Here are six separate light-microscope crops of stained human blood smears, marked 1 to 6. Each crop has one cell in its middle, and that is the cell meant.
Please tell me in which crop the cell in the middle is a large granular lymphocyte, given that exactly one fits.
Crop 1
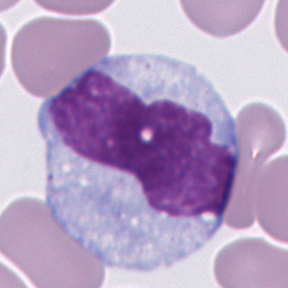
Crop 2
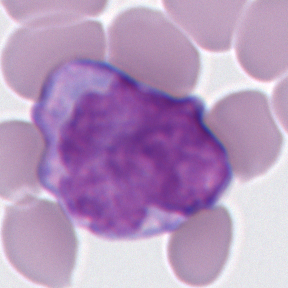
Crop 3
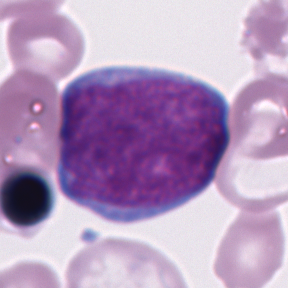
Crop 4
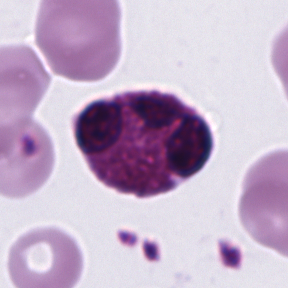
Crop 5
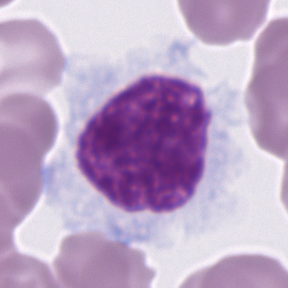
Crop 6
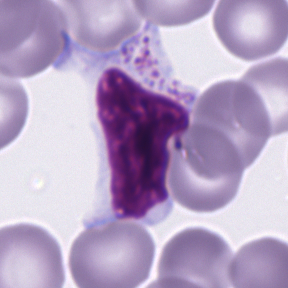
6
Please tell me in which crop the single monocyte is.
1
